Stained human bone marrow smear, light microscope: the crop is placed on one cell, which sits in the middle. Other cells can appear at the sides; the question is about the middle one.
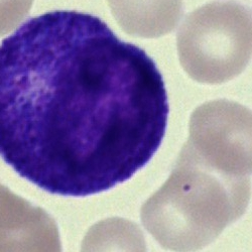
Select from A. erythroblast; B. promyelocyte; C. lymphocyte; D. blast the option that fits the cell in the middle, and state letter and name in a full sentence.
The cell in the centre of the crop is a promyelocyte, so option B is the correct one.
